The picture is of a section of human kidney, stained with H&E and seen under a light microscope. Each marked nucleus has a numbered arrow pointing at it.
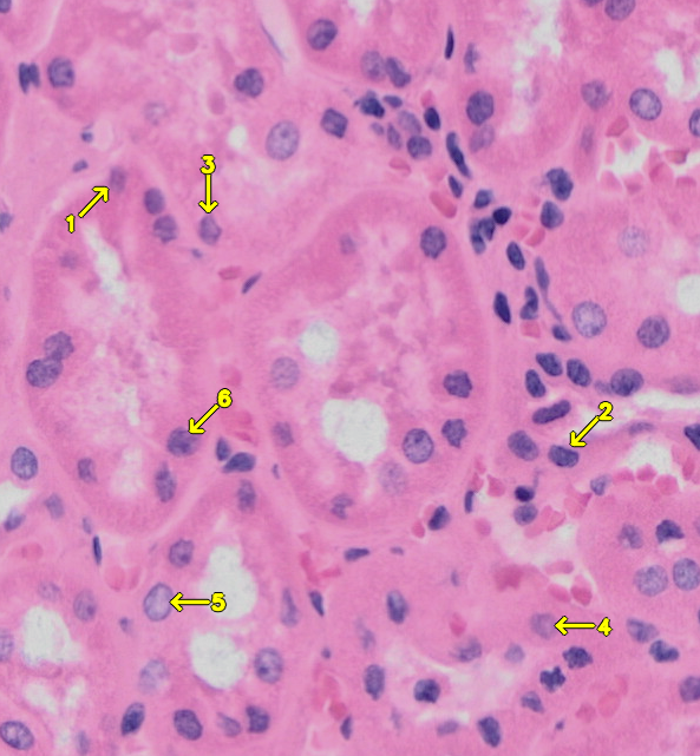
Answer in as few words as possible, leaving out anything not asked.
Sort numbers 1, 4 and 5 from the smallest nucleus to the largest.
1, 4, 5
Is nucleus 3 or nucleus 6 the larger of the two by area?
6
